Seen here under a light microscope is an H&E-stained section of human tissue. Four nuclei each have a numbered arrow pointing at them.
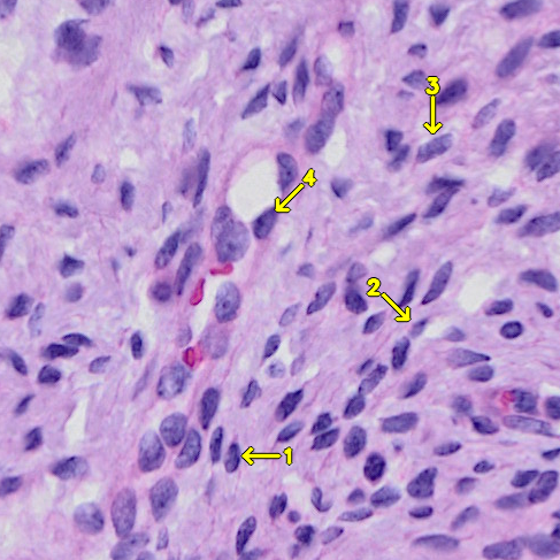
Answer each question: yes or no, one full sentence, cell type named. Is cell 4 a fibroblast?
No, what is marked as number 4 is an endothelial cell rather than a fibroblast.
